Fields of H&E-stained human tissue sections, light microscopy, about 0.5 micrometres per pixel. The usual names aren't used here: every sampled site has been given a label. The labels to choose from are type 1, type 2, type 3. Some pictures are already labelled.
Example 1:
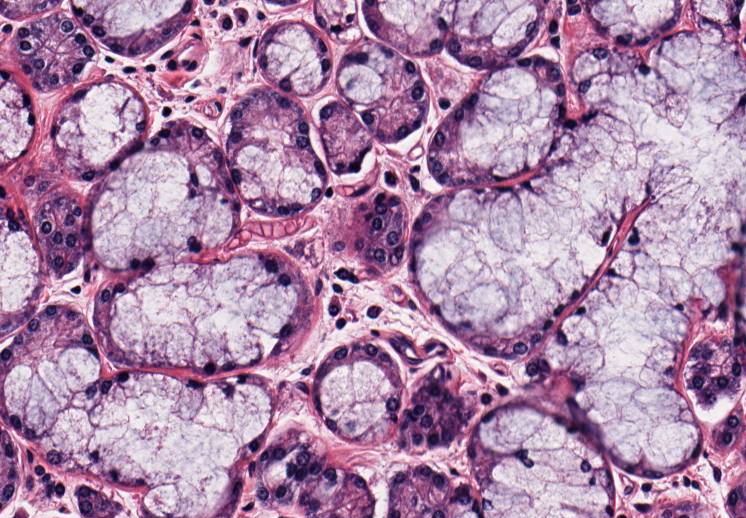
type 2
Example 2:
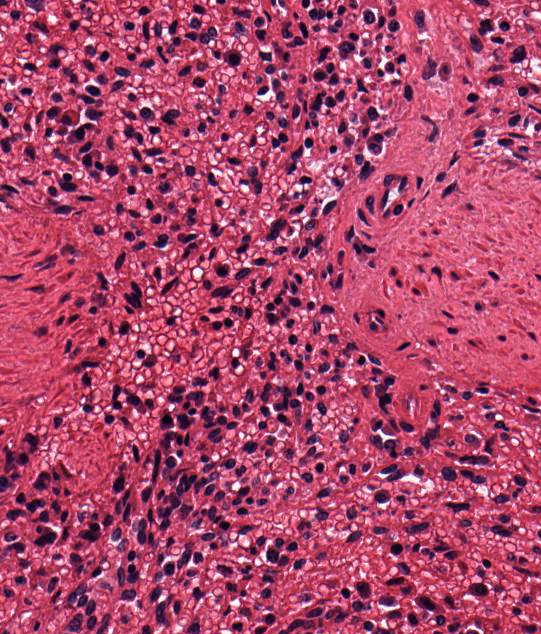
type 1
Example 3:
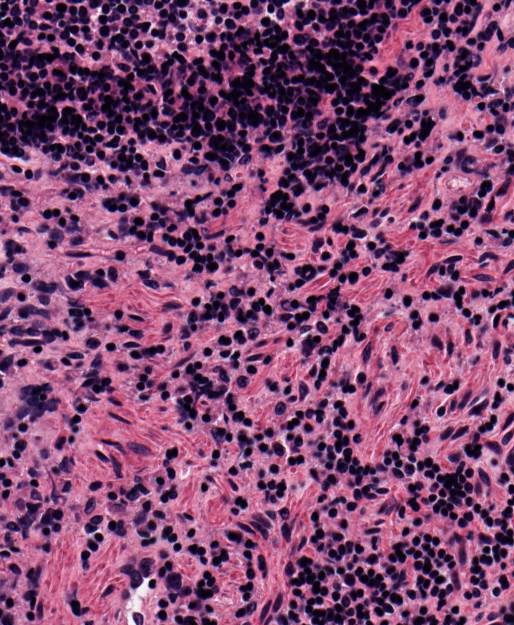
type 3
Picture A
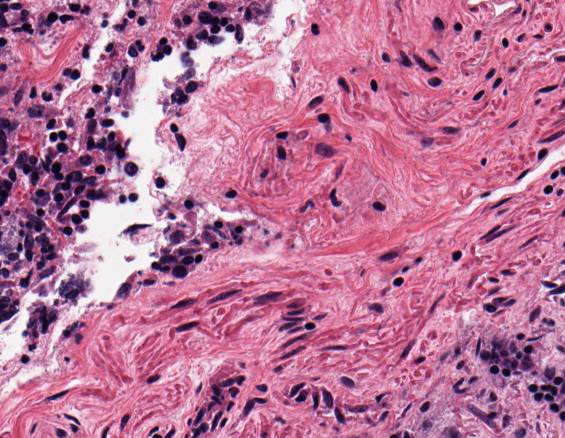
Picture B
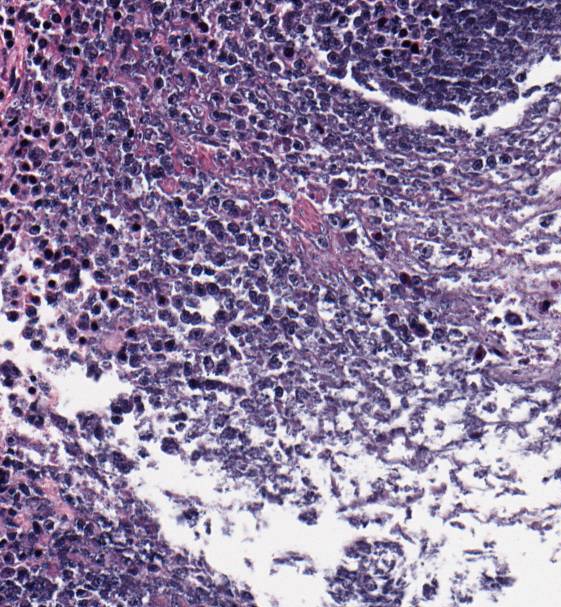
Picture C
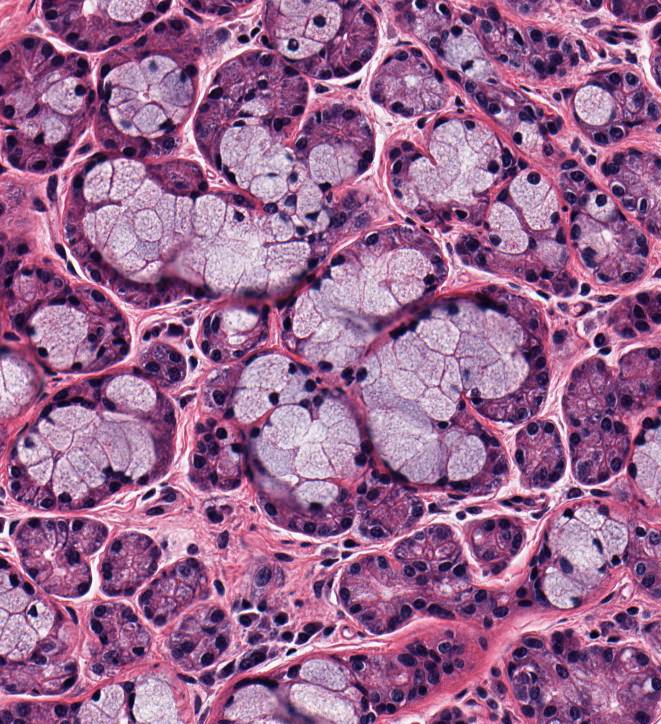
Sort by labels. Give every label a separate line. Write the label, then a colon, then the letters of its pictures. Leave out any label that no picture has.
type 2: C
type 3: A, B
